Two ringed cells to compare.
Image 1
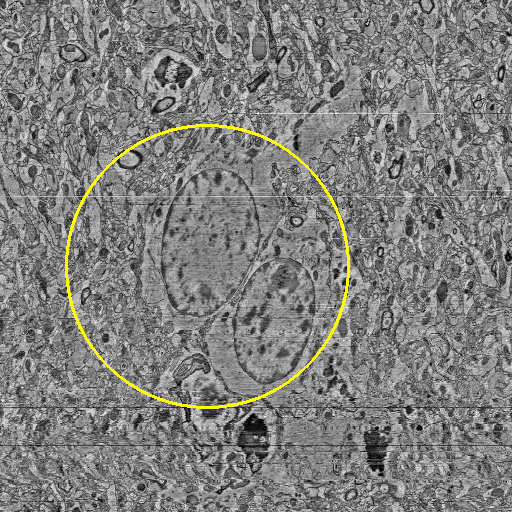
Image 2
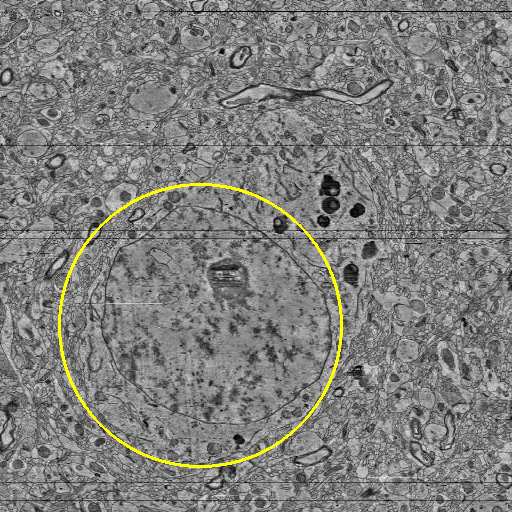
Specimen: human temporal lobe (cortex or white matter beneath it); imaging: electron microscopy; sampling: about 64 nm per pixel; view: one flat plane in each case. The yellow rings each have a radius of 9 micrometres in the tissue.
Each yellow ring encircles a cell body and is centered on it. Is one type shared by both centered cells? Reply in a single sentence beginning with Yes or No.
No, two types are found among the cells at the centers of the rings.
